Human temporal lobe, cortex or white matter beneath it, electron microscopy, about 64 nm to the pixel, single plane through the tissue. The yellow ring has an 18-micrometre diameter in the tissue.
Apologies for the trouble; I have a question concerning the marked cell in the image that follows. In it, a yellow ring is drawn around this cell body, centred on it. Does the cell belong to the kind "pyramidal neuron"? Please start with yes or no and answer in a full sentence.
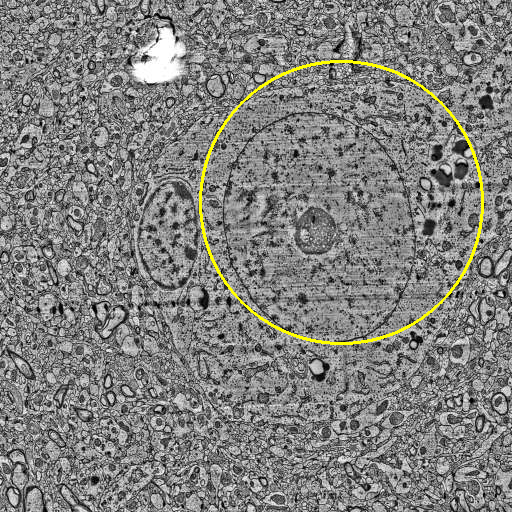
Yes, the cell at the centre of the ring in the picture is of that kind.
